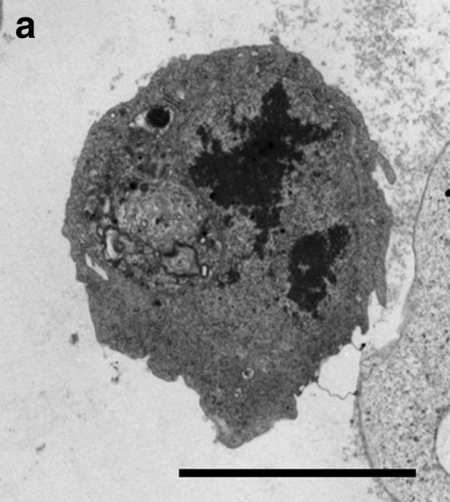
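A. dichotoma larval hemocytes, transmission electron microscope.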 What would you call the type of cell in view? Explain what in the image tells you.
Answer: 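Proleucocyte. A compact cell with dense, dark cytoplasm. Irregular very dark clumps in the cell's interior.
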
